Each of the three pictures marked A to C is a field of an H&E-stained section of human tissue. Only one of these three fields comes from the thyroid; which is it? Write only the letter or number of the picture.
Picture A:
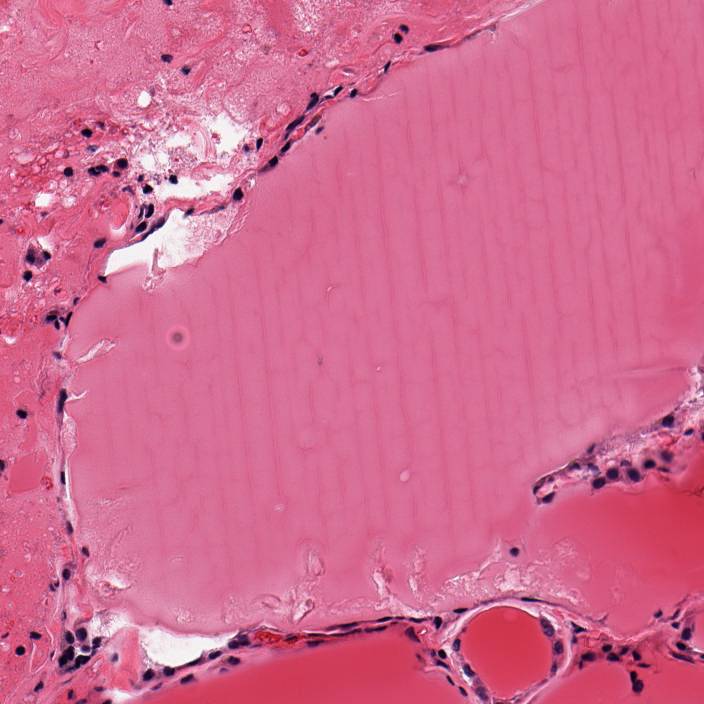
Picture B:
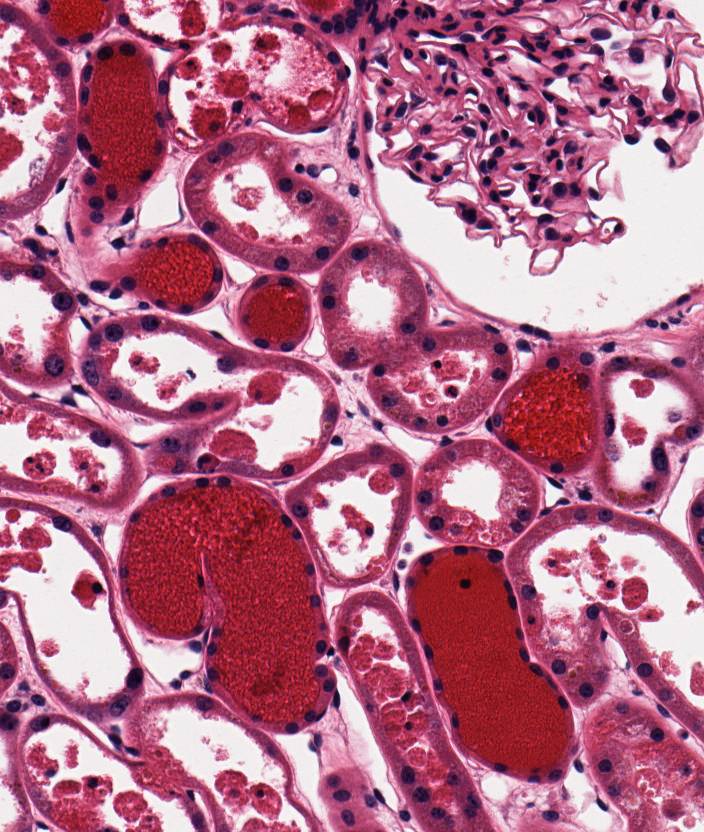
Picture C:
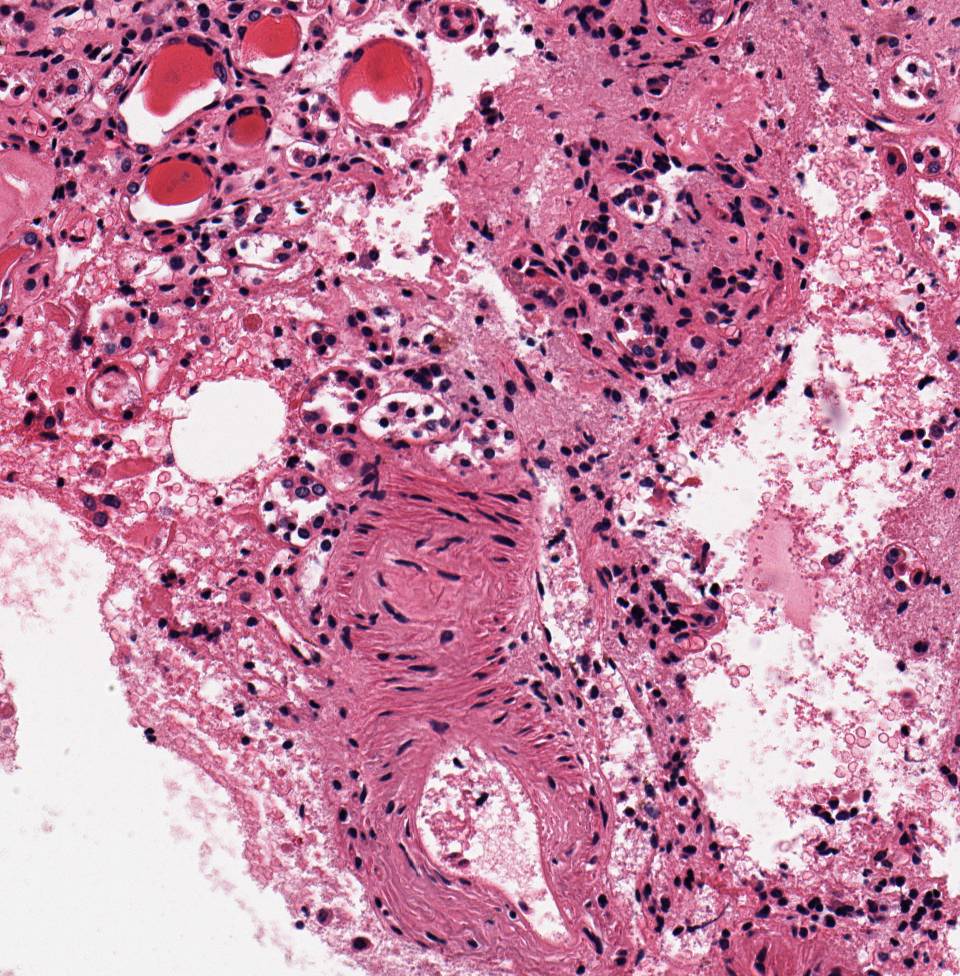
A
